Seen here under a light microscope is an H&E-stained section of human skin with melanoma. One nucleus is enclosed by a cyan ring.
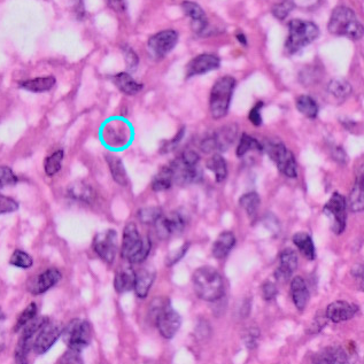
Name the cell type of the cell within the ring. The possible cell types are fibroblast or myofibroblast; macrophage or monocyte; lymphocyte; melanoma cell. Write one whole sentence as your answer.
In terms of identity, the cell within the ring is a melanoma cell.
